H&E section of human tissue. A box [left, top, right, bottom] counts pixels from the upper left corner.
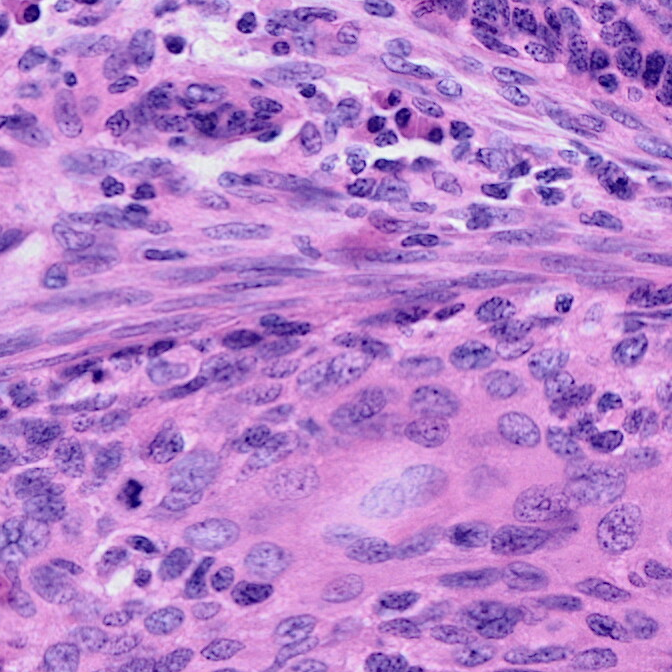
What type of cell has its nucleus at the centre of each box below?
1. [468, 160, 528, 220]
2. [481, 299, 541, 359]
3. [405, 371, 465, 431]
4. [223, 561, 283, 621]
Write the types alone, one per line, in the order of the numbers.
lymphocyte
squamous carcinoma cell
squamous carcinoma cell
squamous carcinoma cell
